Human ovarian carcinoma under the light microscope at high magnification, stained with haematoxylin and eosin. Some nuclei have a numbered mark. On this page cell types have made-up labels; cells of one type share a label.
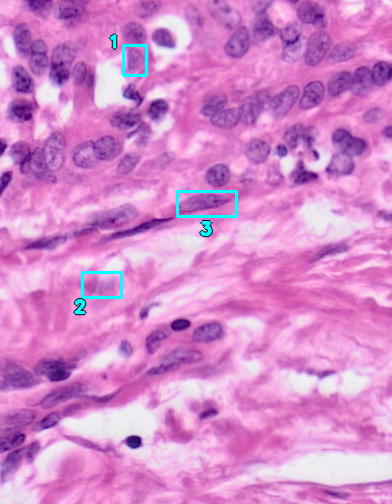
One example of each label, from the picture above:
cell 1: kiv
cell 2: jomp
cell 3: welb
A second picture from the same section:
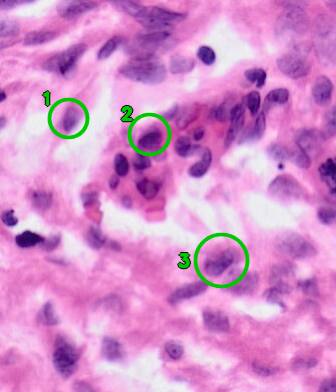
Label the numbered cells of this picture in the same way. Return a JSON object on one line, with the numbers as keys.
{"1": "jomp", "2": "welb", "3": "jomp"}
